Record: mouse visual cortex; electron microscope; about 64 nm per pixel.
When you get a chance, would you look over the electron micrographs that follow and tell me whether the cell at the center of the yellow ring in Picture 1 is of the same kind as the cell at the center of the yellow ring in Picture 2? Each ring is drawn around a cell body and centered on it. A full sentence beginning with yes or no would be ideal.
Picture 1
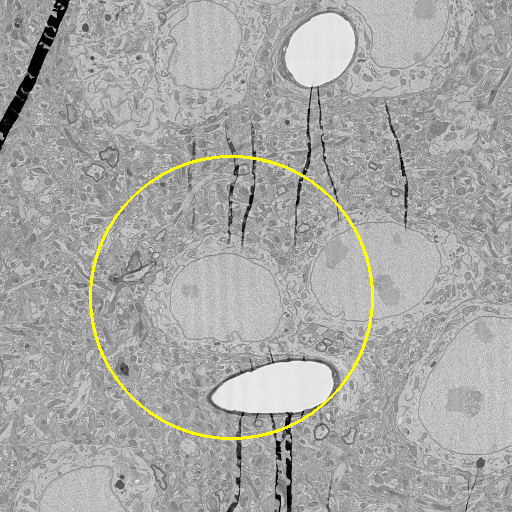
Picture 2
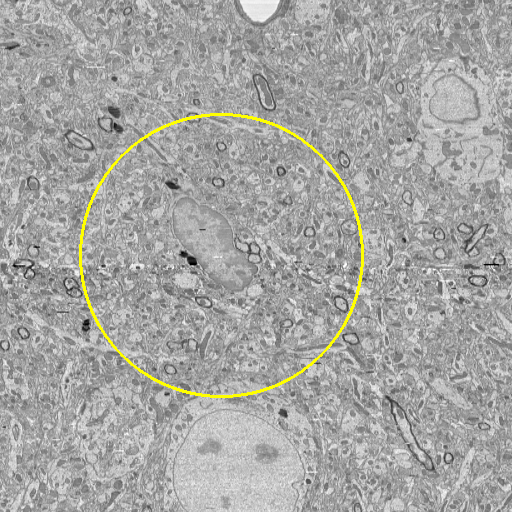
No, they are two kinds of cell.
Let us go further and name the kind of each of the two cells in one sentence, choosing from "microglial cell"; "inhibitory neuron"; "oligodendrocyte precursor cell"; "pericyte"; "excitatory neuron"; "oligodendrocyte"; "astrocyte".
The ring of the first picture is on an excitatory neuron, the ring of the second on a microglial cell.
